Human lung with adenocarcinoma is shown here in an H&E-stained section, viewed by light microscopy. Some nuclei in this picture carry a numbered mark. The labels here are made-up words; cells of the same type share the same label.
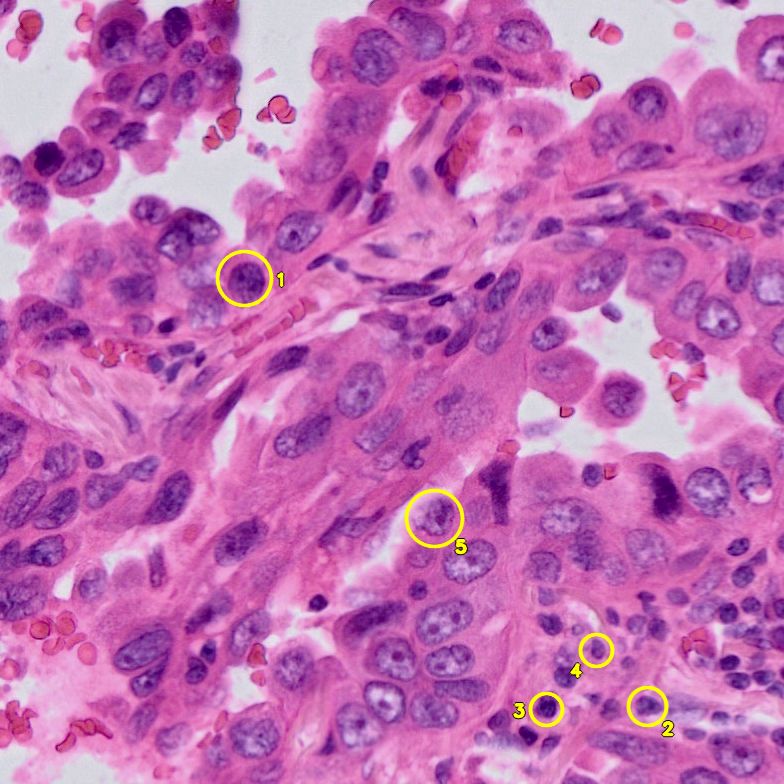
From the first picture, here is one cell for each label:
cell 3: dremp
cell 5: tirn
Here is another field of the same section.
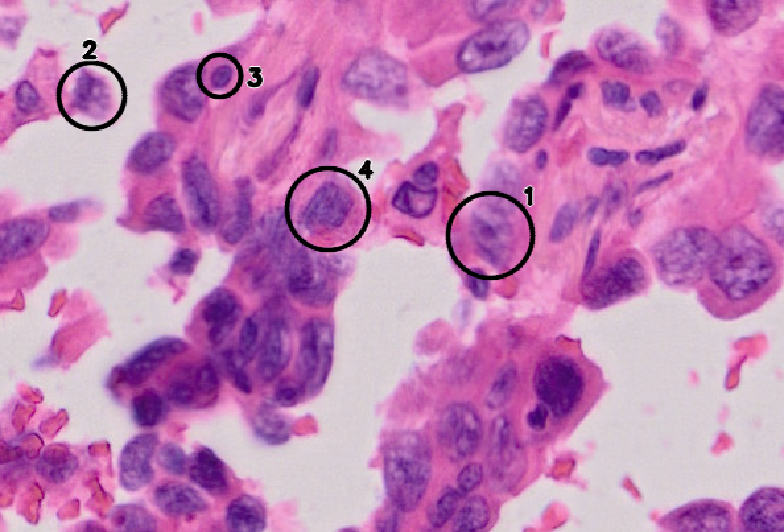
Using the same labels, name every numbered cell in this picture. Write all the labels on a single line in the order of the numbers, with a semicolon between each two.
tirn; tirn; dremp; tirn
